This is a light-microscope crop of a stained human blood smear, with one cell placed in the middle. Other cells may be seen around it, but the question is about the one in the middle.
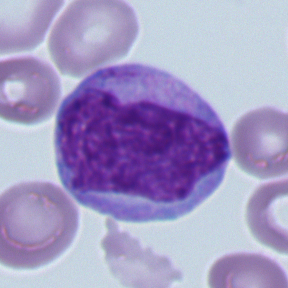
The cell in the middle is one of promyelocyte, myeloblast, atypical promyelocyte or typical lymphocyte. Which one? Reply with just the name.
atypical promyelocyte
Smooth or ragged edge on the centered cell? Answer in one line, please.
From every side, the cell boundary is smooth and free of projections.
